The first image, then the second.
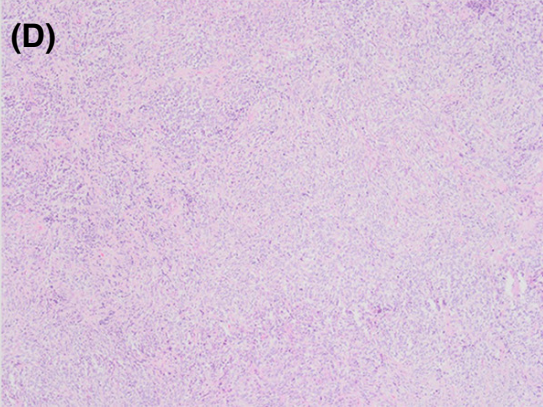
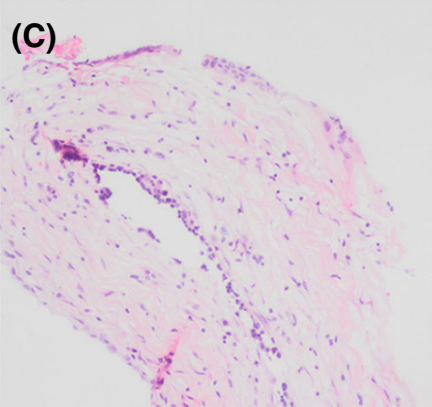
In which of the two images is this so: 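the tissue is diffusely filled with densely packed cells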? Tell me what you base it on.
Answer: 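First image: a continuous dense sheet of cells fills the whole field. Second image: a loose pale fibrous tissue with only scattered cells and a few small cell groups.
Answer: the first image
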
